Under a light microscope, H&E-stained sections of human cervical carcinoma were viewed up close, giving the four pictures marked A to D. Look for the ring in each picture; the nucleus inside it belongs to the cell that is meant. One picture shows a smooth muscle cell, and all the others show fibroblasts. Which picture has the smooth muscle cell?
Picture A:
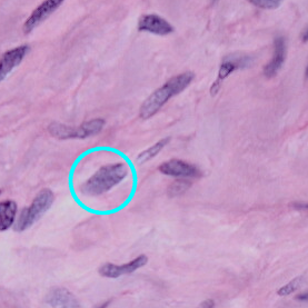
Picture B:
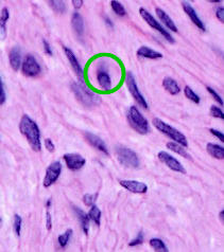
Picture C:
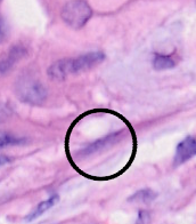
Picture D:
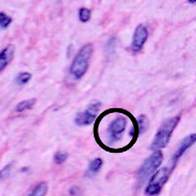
D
